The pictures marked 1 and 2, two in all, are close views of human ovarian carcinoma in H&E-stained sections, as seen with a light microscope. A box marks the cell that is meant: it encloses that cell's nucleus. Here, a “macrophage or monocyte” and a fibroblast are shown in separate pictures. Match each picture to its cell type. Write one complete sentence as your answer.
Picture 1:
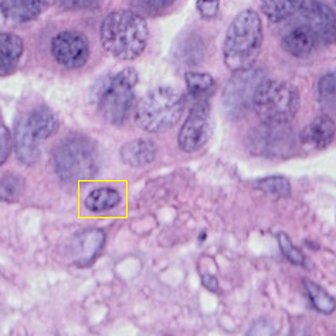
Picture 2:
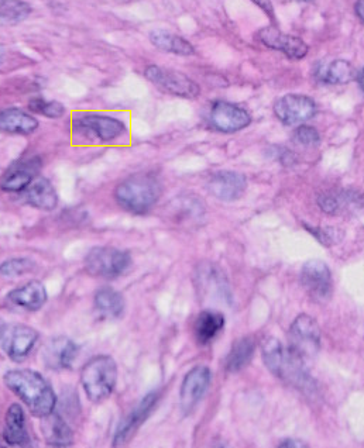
It is picture 1 that shows a “macrophage or monocyte”, and picture 2 that shows a fibroblast.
